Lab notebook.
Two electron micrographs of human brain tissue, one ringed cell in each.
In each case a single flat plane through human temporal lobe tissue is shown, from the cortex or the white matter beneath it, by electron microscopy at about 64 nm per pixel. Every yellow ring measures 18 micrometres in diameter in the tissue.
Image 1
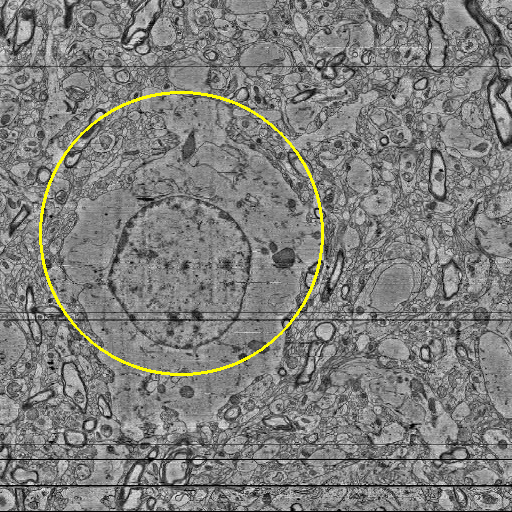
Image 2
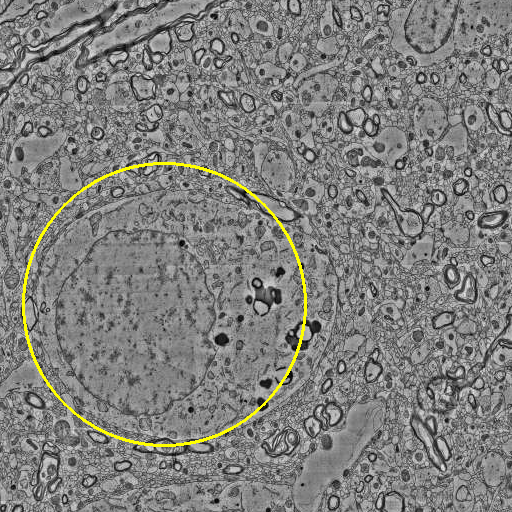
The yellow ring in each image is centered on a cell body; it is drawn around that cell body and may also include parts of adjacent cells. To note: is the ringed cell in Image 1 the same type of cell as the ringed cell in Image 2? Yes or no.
no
